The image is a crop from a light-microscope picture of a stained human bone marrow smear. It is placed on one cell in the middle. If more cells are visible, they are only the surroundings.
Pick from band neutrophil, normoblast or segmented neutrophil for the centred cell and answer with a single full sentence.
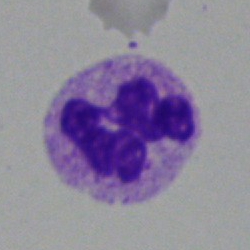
The crop centres on a single cell, and that cell is a segmented neutrophil.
